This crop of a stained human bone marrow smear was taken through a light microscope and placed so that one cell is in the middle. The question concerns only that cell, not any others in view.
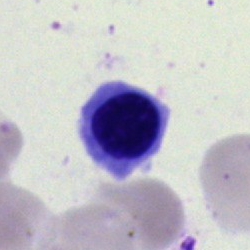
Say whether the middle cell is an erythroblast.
yes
